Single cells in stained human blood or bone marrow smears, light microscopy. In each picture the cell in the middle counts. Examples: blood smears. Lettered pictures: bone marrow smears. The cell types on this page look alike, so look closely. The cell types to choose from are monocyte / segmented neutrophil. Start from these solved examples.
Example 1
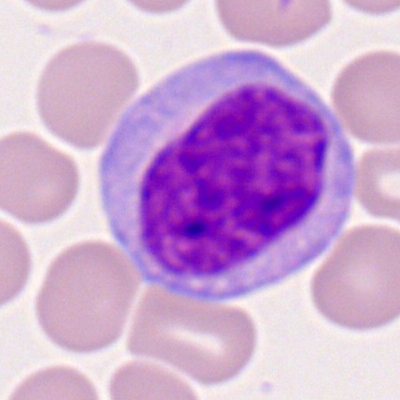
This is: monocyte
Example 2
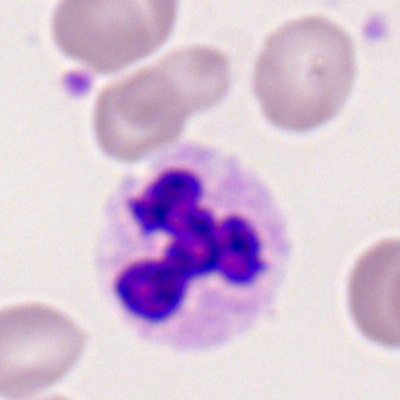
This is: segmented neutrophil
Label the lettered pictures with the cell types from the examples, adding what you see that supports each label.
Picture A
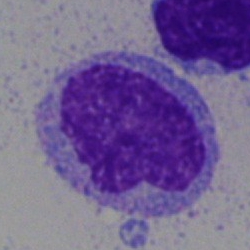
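monocyte. The nucleus fills most of the cell and sits toward the upper right.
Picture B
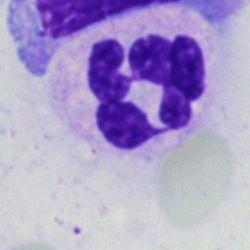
segmented neutrophil. The cytoplasm is abundant and pale pinkish-lilac.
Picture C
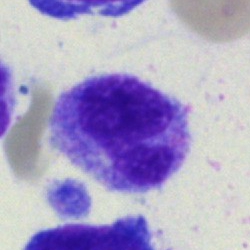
monocyte. The dark purple nucleus fills most of the cell.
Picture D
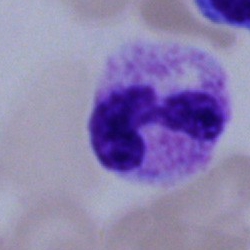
segmented neutrophil. Fine pinkish-violet granules are scattered through the cytoplasm.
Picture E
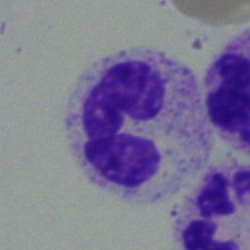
segmented neutrophil. Fine pinkish-purple granules are scattered throughout the cytoplasm.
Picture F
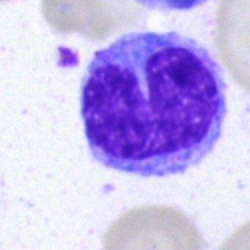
monocyte. The nucleus fills most of the cell.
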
